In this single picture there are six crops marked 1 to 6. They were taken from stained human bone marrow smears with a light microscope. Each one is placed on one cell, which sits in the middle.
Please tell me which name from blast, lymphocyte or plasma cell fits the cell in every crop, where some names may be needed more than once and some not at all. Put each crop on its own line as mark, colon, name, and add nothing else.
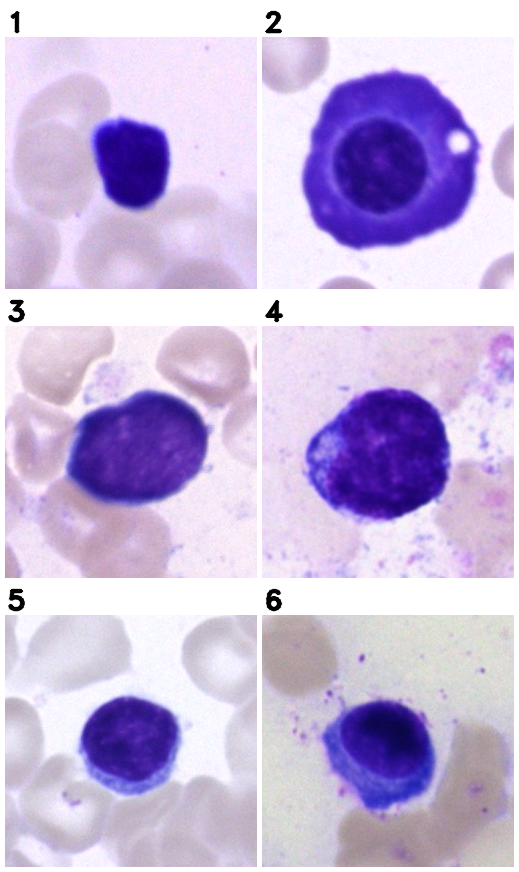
1: lymphocyte
2: plasma cell
3: blast
4: blast
5: lymphocyte
6: plasma cell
